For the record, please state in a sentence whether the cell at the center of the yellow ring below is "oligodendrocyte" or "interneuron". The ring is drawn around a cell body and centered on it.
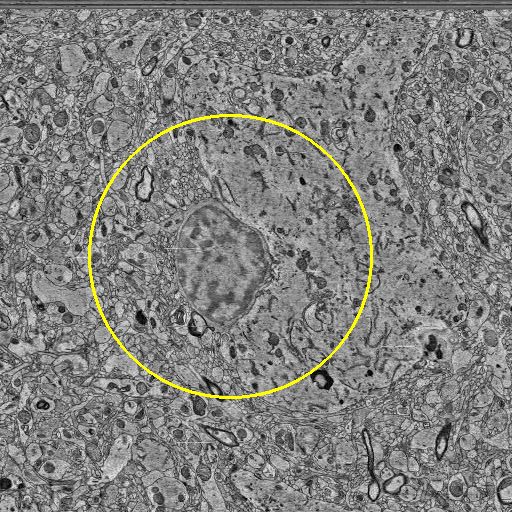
The cell at the ring's center is an oligodendrocyte.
